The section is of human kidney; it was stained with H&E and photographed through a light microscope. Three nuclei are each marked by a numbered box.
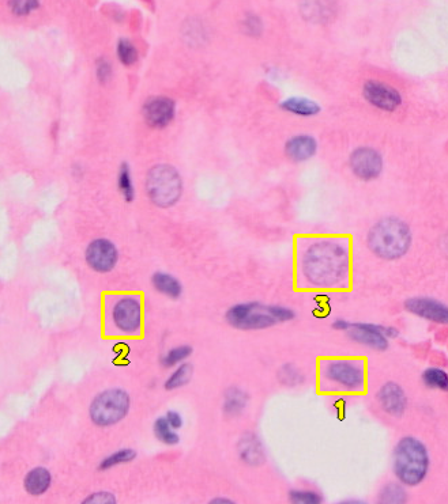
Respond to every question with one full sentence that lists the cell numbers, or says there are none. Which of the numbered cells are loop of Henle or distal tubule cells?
Cell 1 is the only numbered cell that is a loop of Henle or distal tubule cell.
